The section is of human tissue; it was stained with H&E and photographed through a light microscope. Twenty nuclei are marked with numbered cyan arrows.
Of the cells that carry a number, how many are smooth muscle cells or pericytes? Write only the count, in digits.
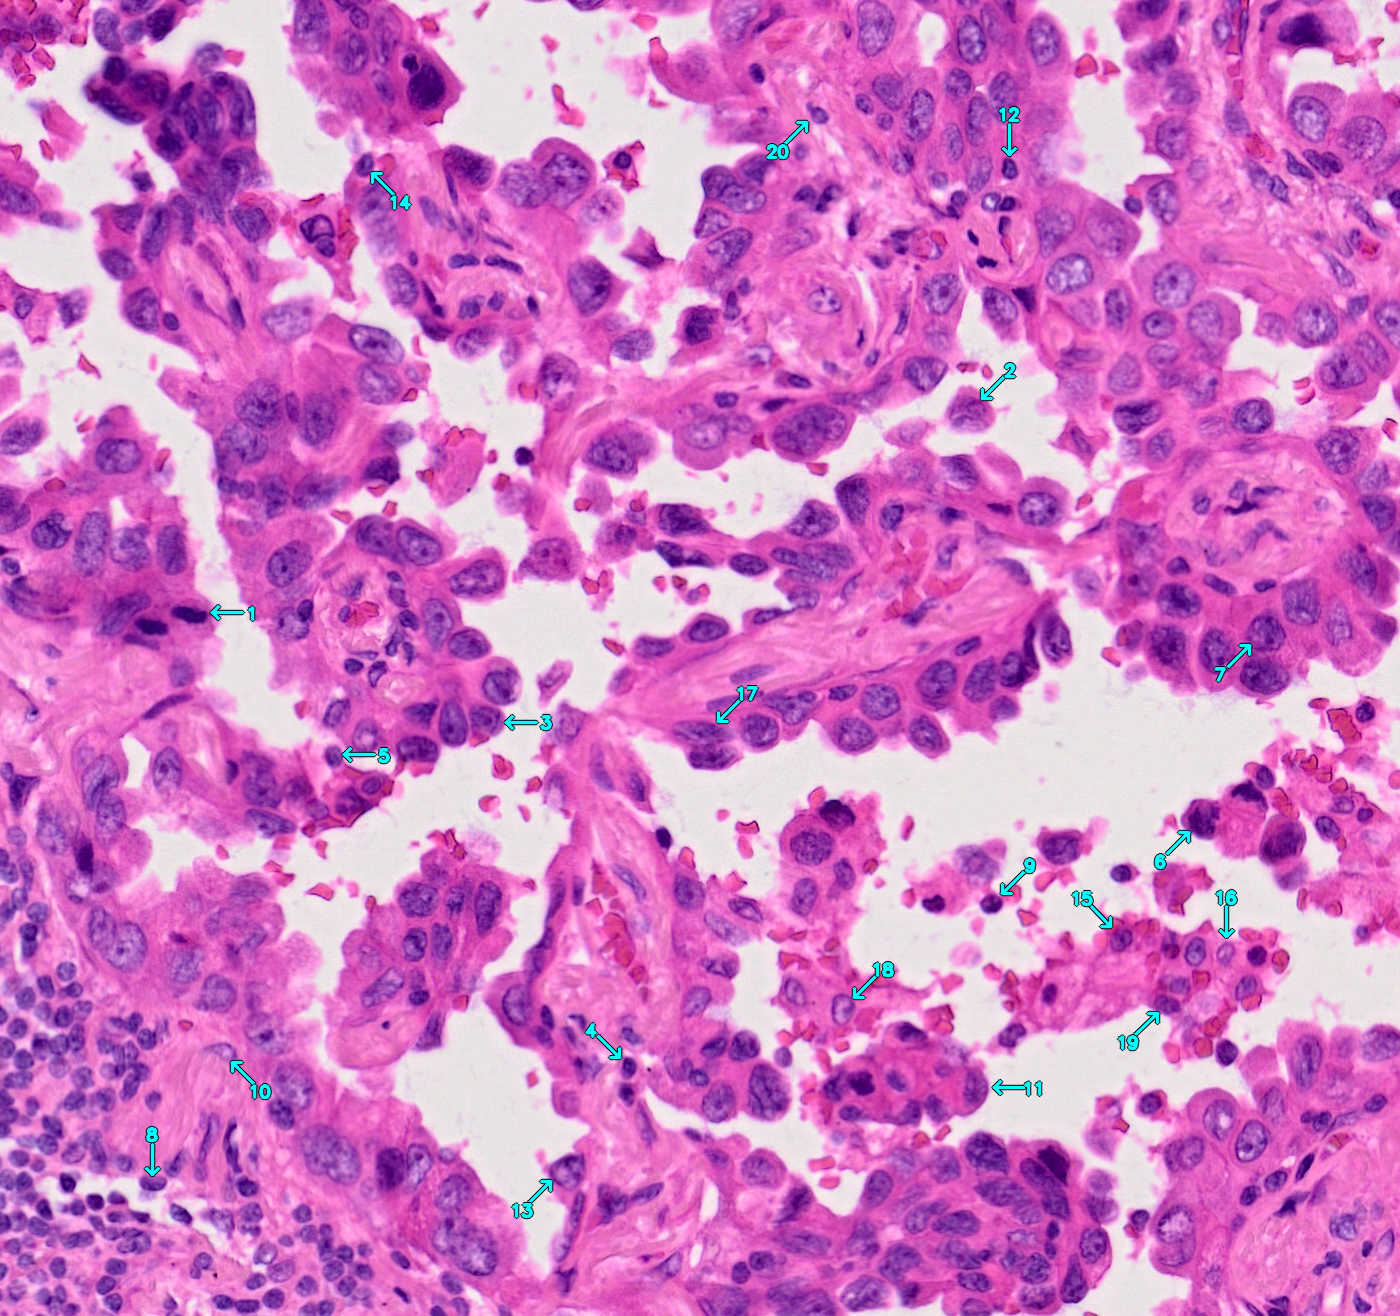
0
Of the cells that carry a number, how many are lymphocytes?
7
